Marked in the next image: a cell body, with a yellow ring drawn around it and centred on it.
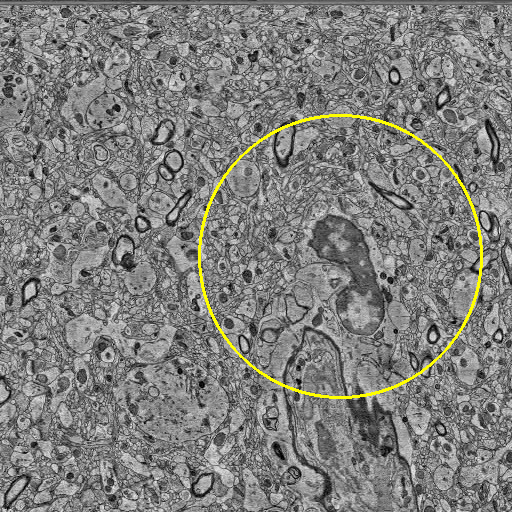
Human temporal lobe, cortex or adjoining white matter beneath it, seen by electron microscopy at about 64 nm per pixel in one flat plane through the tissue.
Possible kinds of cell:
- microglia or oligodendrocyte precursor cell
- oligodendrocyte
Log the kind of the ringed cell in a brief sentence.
The ringed cell body is that of a microglial cell or oligodendrocyte precursor cell.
